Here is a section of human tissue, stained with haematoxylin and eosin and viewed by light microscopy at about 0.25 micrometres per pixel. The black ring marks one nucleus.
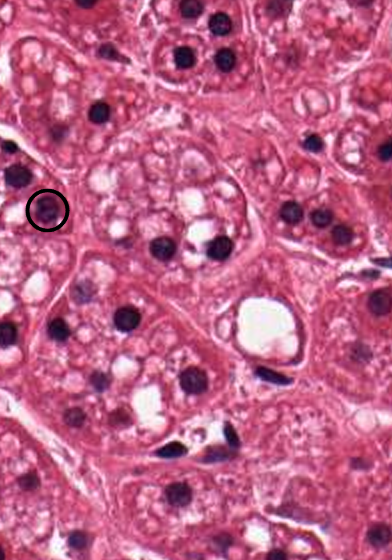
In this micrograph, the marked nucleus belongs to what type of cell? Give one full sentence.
In this section, the marked nucleus is that of an adrenal cortical cell.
